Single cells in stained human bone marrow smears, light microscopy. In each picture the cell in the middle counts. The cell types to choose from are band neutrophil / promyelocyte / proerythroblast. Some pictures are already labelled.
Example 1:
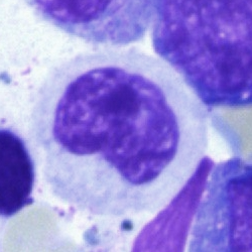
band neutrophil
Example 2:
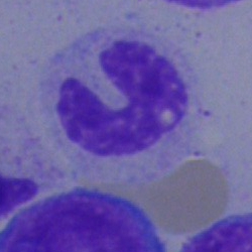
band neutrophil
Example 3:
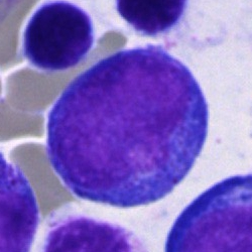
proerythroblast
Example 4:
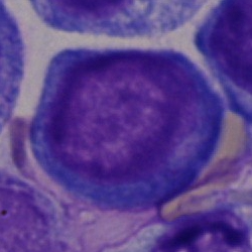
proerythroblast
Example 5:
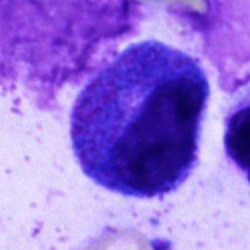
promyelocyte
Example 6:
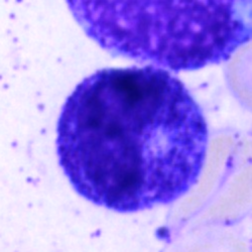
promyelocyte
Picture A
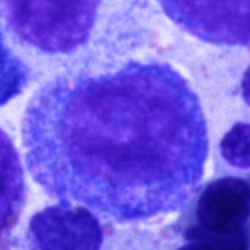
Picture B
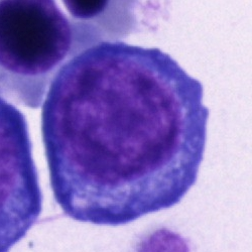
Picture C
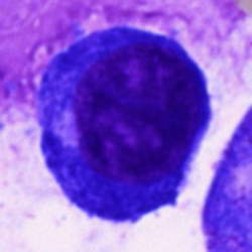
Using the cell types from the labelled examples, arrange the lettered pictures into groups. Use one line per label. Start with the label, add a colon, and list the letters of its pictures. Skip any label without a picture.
promyelocyte: A
proerythroblast: B, C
